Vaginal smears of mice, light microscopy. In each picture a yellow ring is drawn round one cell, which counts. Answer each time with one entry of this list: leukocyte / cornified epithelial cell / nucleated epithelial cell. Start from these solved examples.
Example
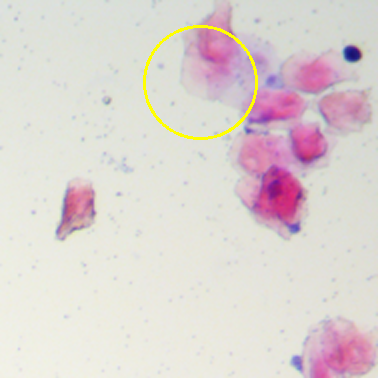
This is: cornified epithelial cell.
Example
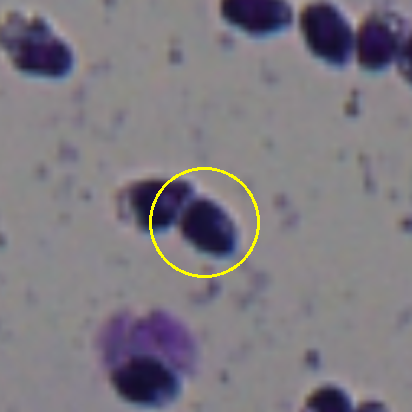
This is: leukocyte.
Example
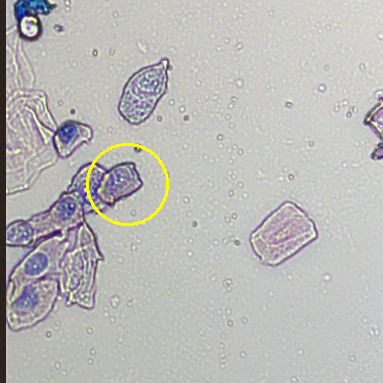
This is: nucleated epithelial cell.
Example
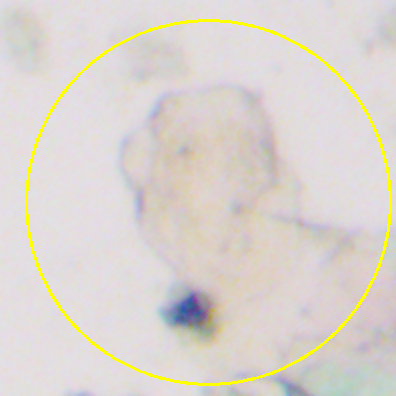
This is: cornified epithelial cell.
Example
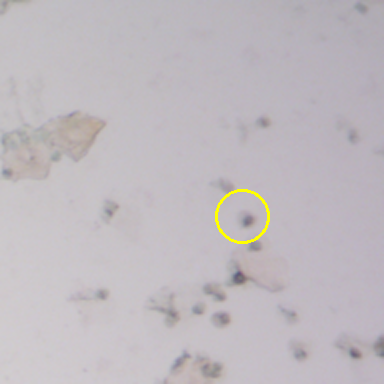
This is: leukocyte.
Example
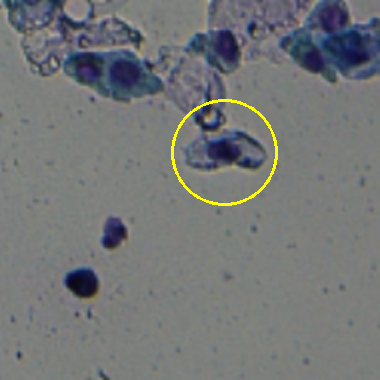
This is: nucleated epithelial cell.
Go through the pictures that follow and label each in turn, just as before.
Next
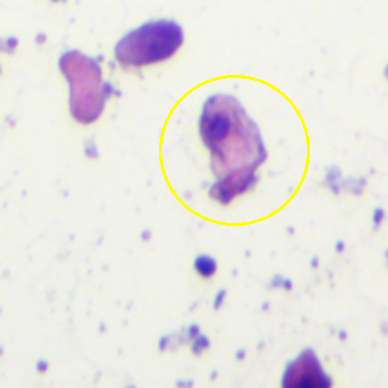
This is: nucleated epithelial cell.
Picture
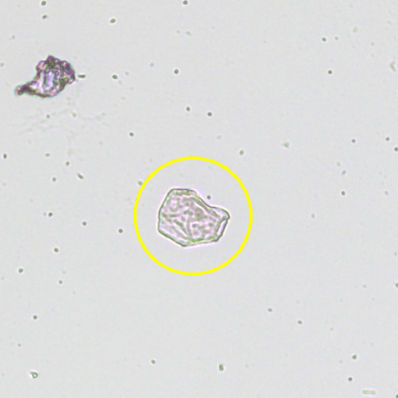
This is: cornified epithelial cell.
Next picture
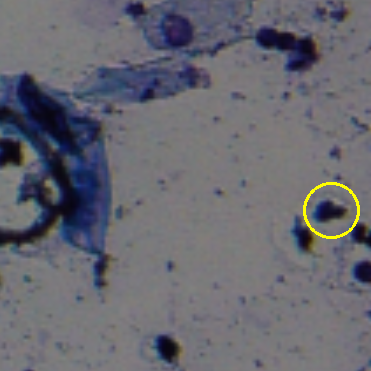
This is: leukocyte.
